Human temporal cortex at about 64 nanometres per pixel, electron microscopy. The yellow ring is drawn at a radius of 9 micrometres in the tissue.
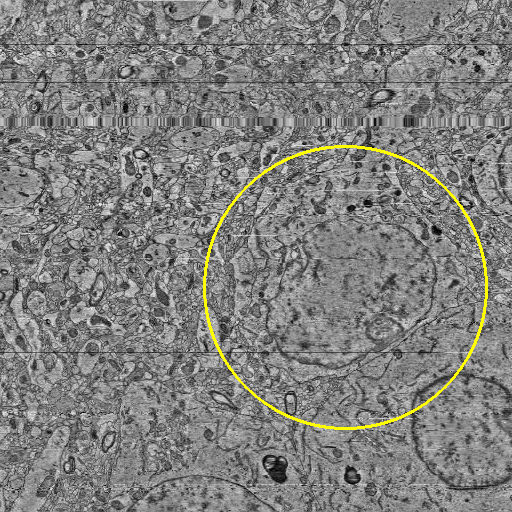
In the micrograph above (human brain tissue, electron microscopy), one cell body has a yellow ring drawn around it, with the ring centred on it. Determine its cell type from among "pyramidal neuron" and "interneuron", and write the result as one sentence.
The cell whose body is ringed is an interneuron.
